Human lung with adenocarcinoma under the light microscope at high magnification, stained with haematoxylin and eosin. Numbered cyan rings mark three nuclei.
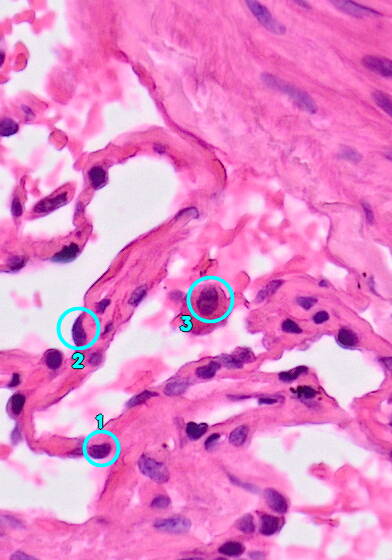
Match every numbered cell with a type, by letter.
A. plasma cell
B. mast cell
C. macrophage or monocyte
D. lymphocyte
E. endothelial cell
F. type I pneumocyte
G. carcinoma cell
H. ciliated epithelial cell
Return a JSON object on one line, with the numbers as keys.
{"1": "F", "2": "F", "3": "C"}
